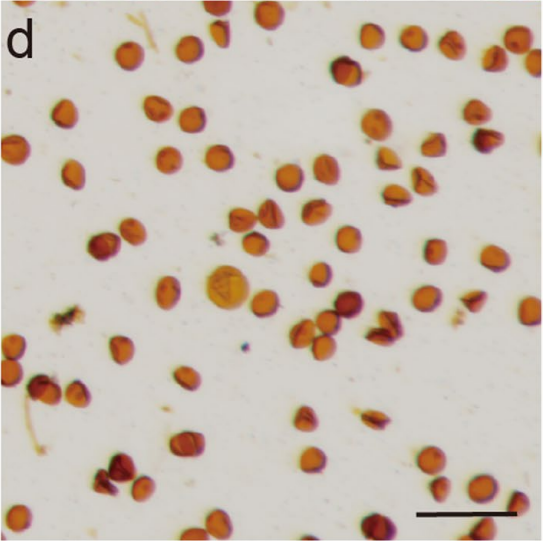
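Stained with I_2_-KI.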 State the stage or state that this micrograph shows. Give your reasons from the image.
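Sterile. The grains are orange-brown rather than black. Many grains are shrunken, creased or collapsed. The grains vary in size and shape.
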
